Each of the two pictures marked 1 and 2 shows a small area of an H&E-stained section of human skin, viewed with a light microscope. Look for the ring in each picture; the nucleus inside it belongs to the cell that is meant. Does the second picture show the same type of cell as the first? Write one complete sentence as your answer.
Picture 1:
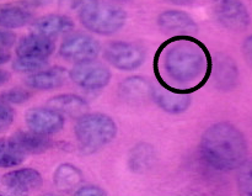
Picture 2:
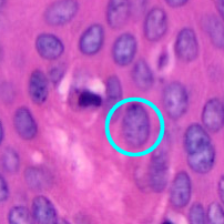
No, picture 1 shows a suprabasal keratinocyte and picture 2 shows a basal keratinocyte.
